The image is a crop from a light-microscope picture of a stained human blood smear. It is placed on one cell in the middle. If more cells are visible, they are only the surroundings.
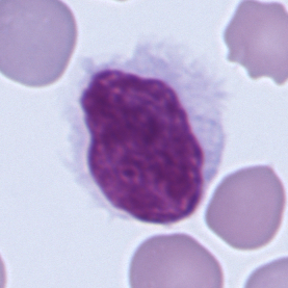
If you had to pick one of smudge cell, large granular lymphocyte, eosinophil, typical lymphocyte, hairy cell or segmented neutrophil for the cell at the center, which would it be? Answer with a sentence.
Standing at the centre of this crop is a hairy cell.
